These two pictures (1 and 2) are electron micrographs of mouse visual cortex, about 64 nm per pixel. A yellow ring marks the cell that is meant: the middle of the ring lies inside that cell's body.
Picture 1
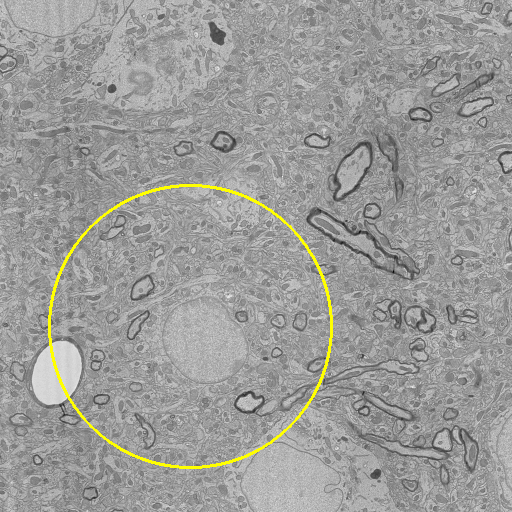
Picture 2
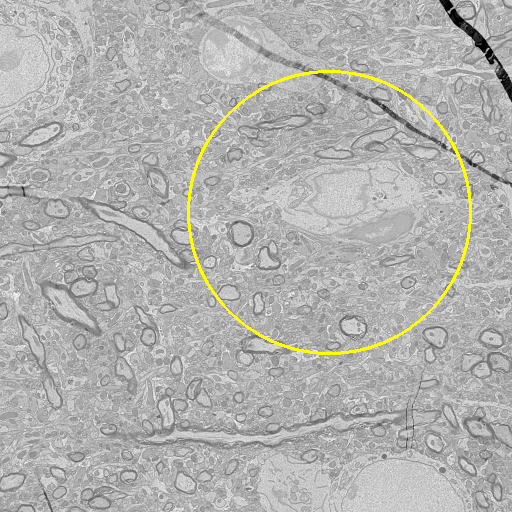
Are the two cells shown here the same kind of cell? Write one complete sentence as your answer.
No; the cell in picture 1 is an astrocyte, while the one in picture 2 is a microglial cell.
